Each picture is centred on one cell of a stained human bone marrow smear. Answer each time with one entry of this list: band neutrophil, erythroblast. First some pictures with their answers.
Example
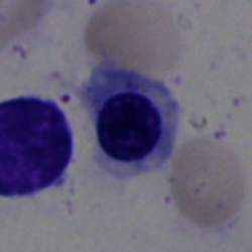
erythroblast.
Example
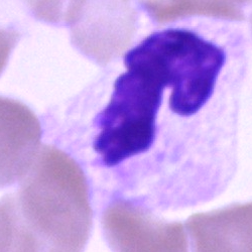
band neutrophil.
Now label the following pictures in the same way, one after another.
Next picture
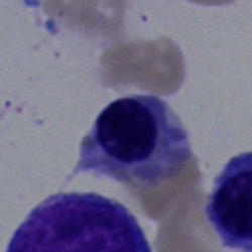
erythroblast.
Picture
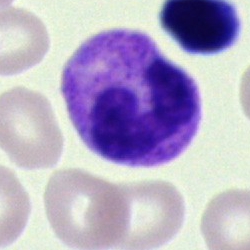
band neutrophil.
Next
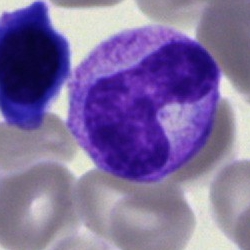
band neutrophil.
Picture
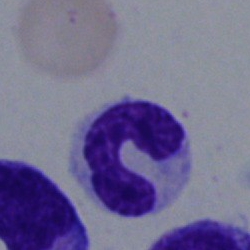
band neutrophil.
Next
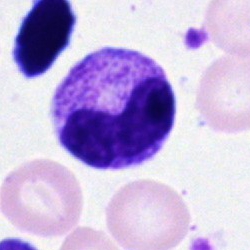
band neutrophil.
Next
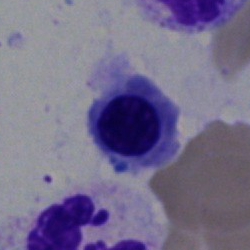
erythroblast.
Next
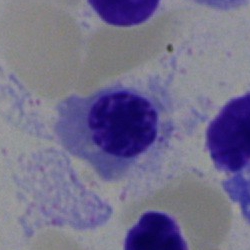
erythroblast.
